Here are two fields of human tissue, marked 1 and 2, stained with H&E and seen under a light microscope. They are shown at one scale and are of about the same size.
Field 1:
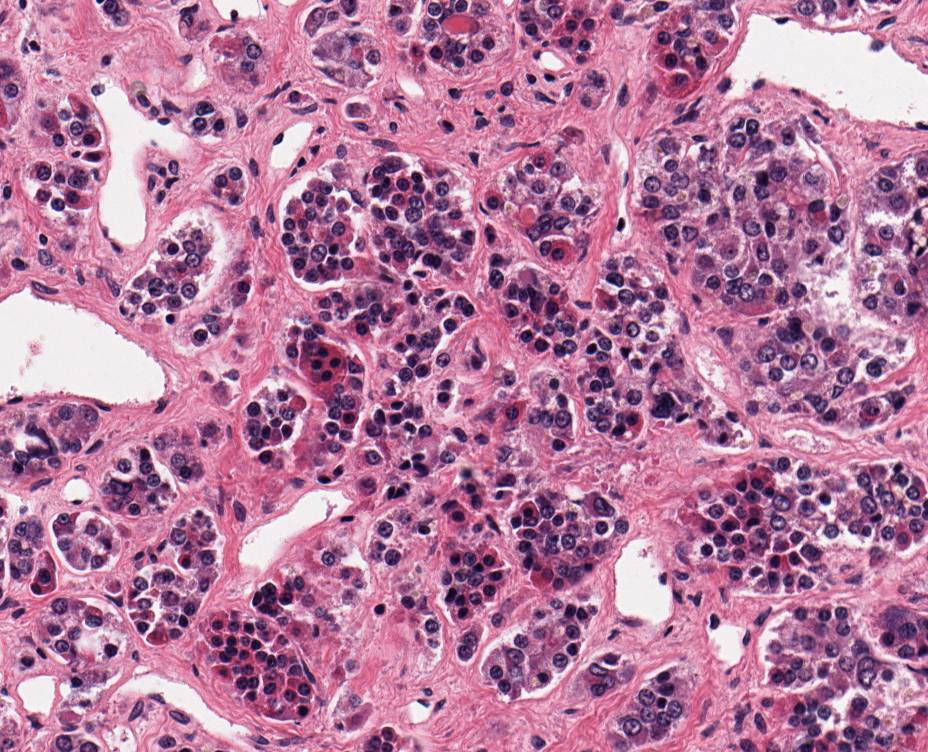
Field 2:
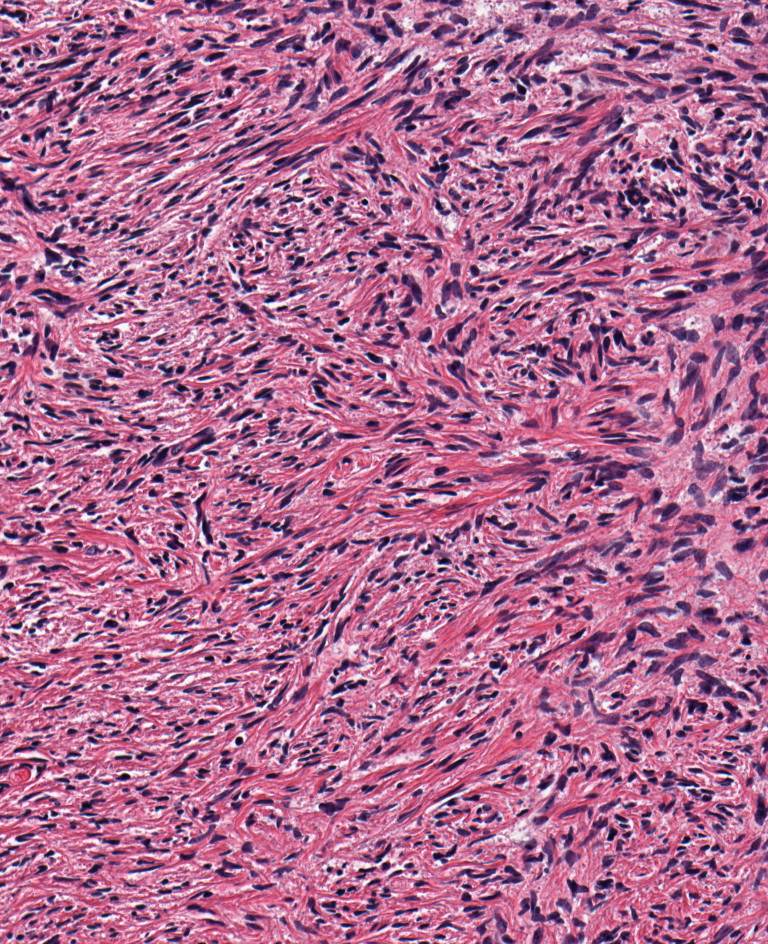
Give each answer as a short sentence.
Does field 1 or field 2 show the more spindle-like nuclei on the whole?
It is field 2 whose nuclei are the more elongated.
